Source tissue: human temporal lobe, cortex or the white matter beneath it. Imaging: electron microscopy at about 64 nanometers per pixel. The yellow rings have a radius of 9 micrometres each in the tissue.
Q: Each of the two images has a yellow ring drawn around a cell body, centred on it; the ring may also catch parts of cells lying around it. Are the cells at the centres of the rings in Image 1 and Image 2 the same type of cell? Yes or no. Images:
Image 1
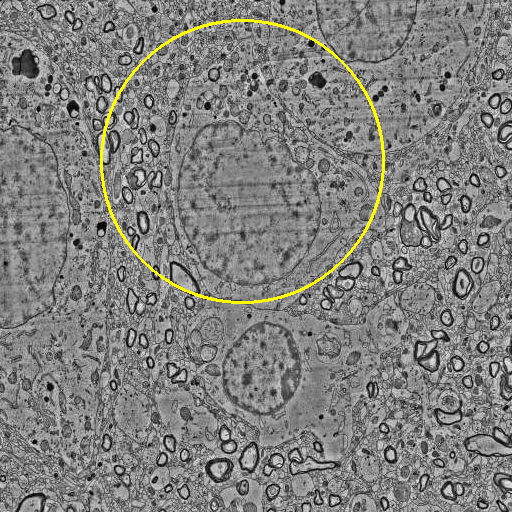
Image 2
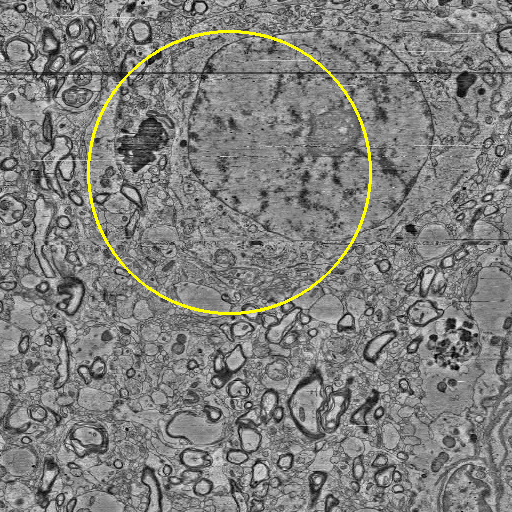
yes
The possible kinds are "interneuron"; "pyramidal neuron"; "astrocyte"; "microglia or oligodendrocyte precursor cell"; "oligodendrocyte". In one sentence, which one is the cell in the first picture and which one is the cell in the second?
In each of the two pictures, the ringed cell is an interneuron.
